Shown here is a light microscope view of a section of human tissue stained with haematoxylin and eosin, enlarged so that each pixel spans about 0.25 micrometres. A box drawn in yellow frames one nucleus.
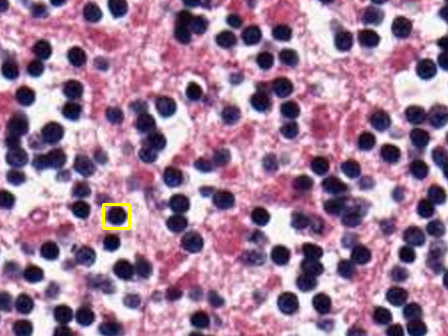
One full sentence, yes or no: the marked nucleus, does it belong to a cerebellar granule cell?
Yes, it is a cerebellar granule cell to which the marked nucleus belongs.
